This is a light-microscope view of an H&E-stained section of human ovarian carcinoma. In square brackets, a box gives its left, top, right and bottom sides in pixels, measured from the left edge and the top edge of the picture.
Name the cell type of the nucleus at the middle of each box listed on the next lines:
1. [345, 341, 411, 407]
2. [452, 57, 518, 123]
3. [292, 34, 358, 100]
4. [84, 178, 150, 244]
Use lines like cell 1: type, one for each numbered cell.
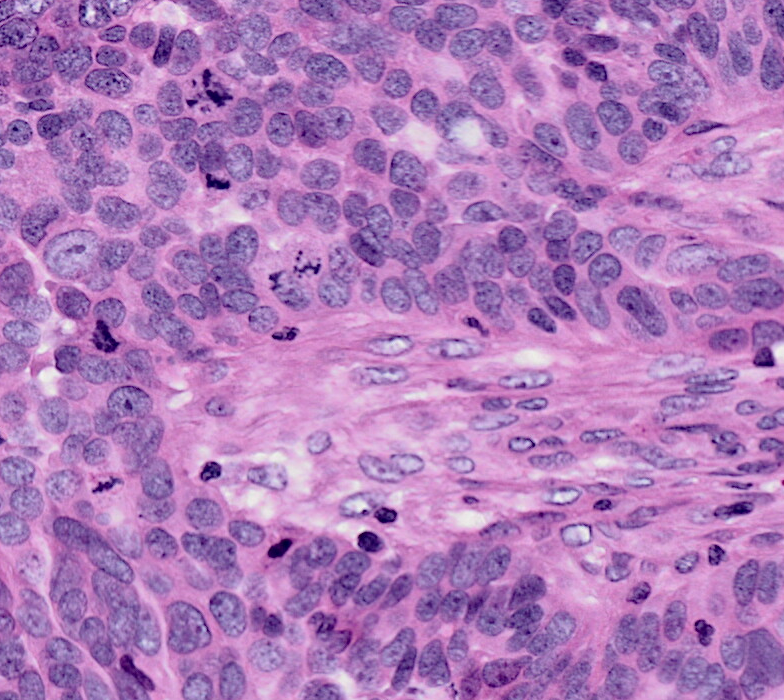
cell 1: fibroblast
cell 2: carcinoma cell
cell 3: carcinoma cell
cell 4: carcinoma cell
